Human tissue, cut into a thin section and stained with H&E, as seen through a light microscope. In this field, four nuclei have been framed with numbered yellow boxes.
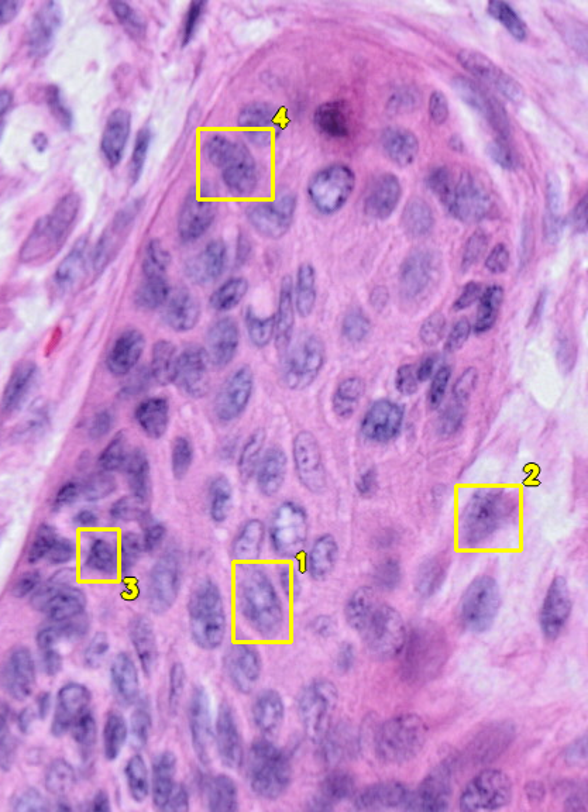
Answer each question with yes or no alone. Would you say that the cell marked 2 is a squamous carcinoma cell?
no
